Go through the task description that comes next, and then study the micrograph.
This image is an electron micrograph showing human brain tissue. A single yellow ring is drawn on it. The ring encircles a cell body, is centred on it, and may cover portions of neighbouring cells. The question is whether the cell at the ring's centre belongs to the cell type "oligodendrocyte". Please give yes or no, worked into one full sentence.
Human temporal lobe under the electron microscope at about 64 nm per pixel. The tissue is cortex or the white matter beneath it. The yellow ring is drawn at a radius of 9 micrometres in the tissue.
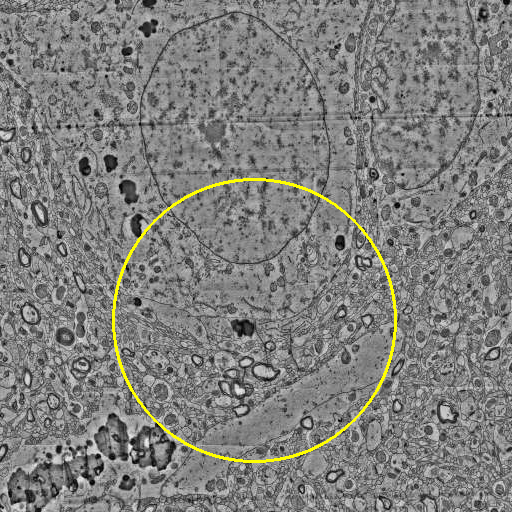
No, the cell that the ring is centred on in the micrograph is of another kind.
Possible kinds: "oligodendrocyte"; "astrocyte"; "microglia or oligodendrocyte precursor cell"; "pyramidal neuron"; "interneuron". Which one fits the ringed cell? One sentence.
That cell in the ring is a microglial cell or oligodendrocyte precursor cell instead.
